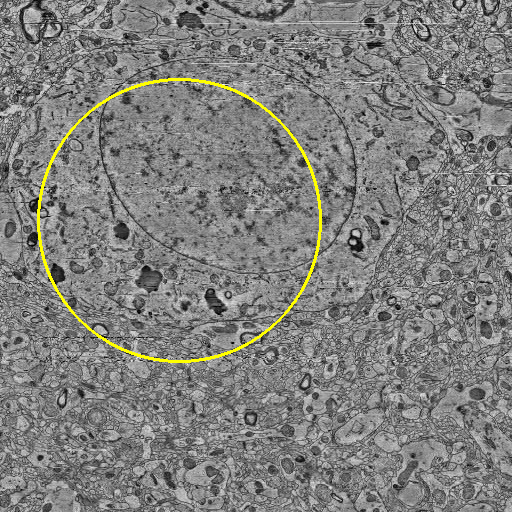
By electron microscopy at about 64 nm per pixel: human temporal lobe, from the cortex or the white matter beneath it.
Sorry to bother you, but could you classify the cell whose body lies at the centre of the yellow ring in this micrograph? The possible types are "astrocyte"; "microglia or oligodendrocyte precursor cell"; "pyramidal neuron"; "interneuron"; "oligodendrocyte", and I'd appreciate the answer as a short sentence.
The ringed cell body is that of a pyramidal neuron.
